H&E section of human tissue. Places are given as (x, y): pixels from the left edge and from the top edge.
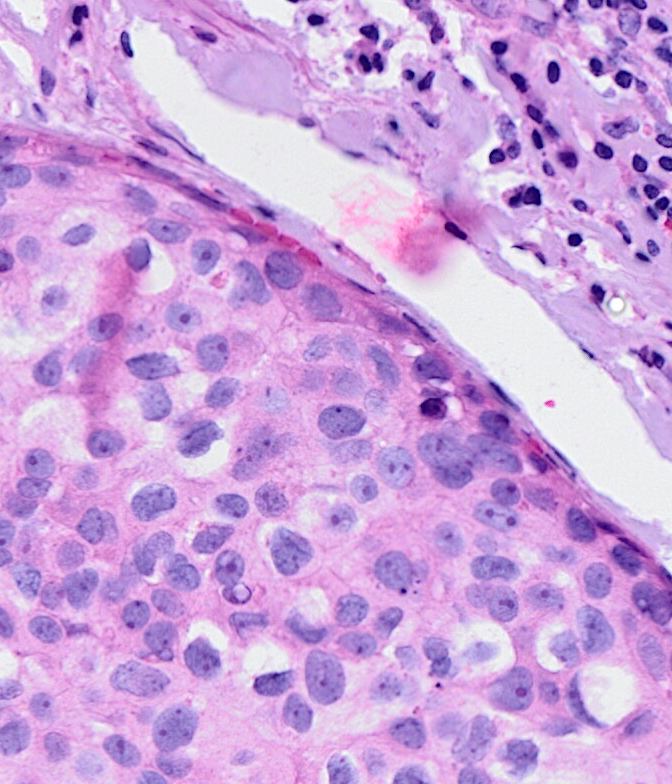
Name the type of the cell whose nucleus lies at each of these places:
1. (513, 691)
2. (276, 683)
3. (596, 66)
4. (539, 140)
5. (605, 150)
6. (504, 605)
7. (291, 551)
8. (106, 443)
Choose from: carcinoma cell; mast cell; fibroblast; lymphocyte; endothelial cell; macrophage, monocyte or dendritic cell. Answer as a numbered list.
1. carcinoma cell
2. carcinoma cell
3. lymphocyte
4. lymphocyte
5. lymphocyte
6. carcinoma cell
7. carcinoma cell
8. carcinoma cell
